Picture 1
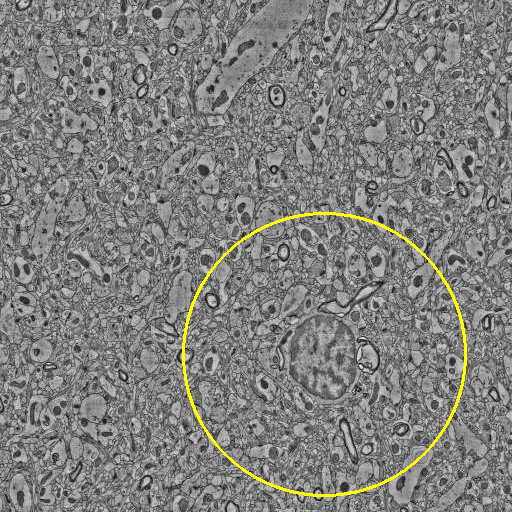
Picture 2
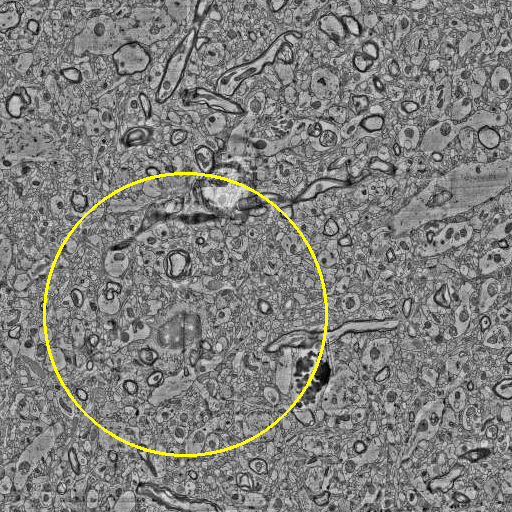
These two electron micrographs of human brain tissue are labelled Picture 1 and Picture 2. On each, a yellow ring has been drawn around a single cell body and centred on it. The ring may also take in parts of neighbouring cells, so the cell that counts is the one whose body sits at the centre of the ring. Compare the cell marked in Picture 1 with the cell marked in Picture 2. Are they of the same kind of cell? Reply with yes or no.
yes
